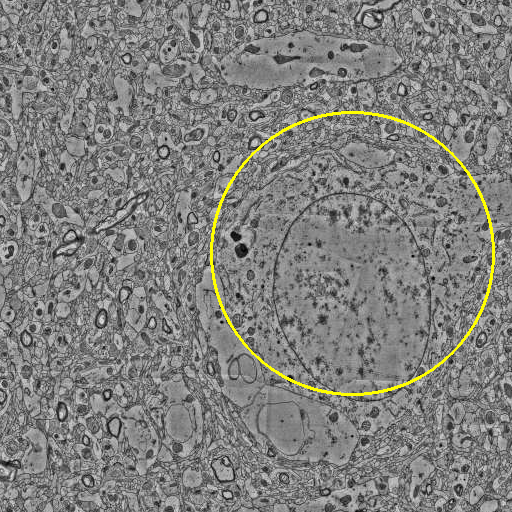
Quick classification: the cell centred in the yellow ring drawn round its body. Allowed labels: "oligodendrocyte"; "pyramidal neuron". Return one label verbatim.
pyramidal neuron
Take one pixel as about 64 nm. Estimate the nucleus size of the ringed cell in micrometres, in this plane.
About 13 by 10 micrometres in this plane.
